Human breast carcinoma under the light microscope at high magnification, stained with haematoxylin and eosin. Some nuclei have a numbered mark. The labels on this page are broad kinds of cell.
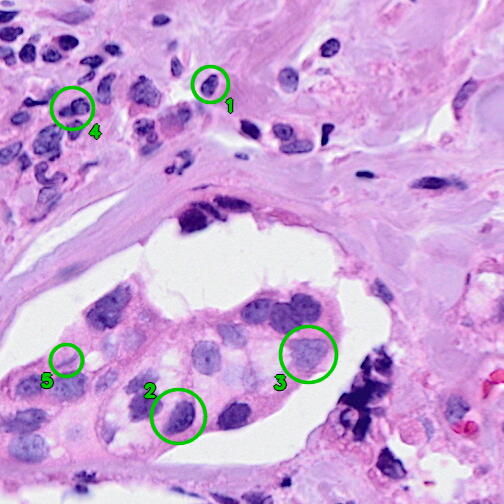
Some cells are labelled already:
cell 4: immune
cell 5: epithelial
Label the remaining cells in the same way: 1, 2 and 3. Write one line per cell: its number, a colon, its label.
1: immune
2: epithelial
3: epithelial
